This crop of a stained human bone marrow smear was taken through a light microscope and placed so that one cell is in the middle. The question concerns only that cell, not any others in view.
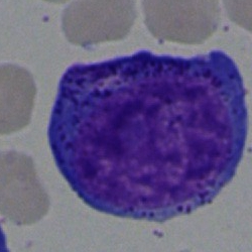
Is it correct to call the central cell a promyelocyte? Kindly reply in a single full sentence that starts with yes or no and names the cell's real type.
Yes, the middle cell is classified as a promyelocyte.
